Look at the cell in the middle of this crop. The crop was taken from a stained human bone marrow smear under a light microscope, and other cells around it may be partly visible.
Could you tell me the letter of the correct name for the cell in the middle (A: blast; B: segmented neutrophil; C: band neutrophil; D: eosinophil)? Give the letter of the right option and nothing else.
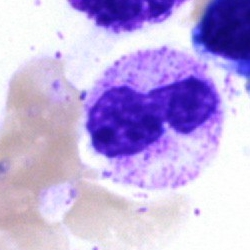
C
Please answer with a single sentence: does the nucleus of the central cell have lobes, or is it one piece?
We find a nucleus divided into at least two lobes.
